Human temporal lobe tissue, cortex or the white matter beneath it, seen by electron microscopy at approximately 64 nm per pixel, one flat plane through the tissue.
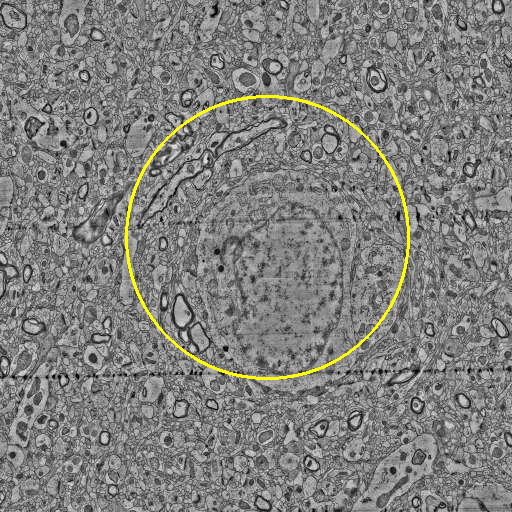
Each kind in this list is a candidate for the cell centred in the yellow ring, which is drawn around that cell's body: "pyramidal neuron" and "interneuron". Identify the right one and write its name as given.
interneuron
